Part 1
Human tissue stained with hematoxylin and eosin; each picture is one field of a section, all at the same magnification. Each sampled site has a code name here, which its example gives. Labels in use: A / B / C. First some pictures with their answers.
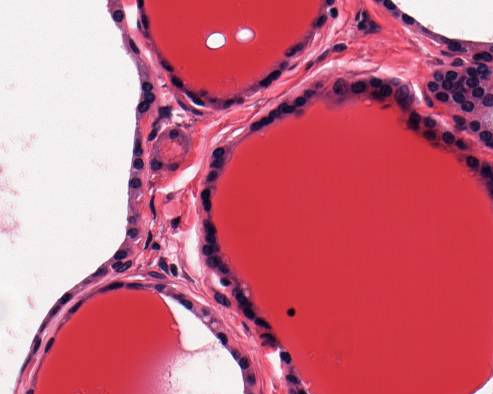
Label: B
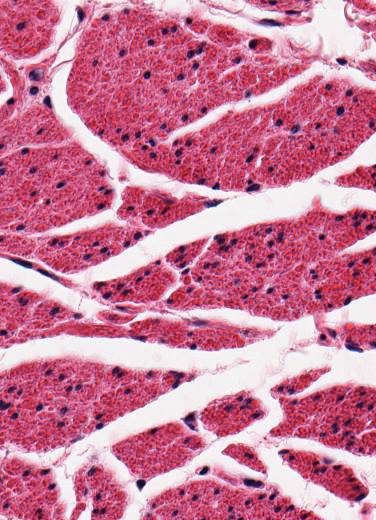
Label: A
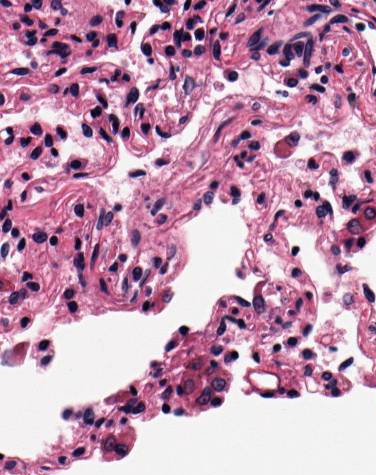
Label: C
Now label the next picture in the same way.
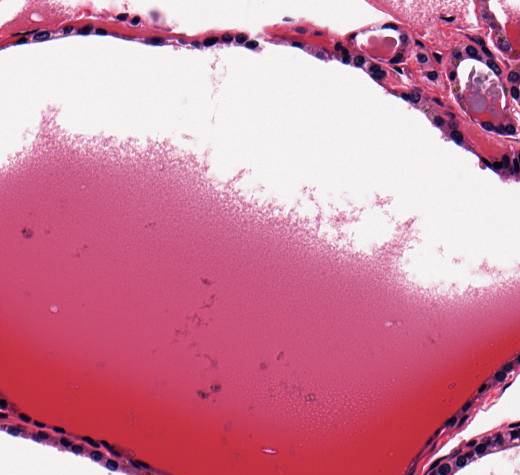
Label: B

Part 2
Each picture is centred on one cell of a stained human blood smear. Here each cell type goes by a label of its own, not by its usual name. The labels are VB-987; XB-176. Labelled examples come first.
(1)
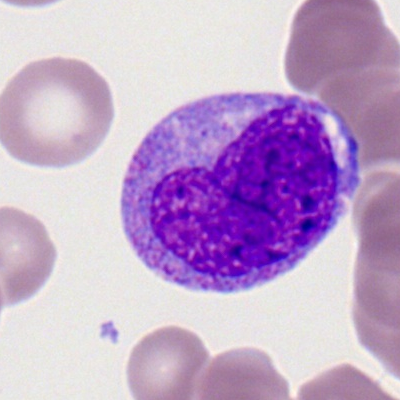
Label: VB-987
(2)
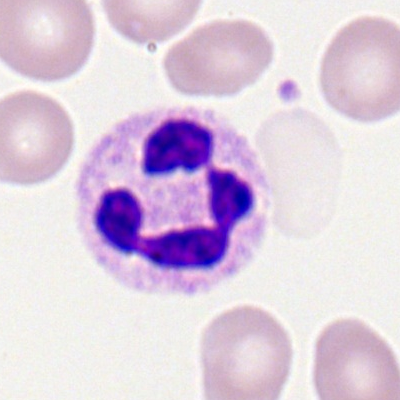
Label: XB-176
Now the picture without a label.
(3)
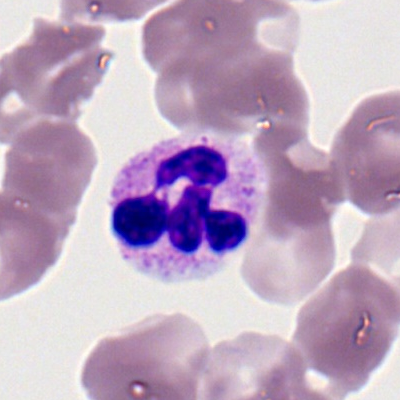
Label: XB-176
